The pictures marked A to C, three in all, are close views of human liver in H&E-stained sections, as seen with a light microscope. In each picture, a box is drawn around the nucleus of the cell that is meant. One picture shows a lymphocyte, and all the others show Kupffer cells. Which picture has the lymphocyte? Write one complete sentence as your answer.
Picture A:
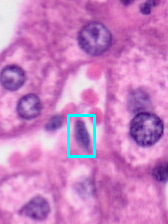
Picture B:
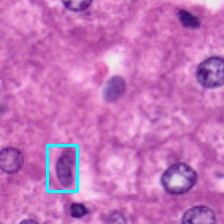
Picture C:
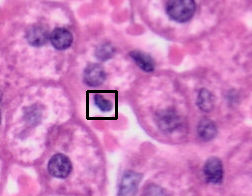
The picture with the lymphocyte is C.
